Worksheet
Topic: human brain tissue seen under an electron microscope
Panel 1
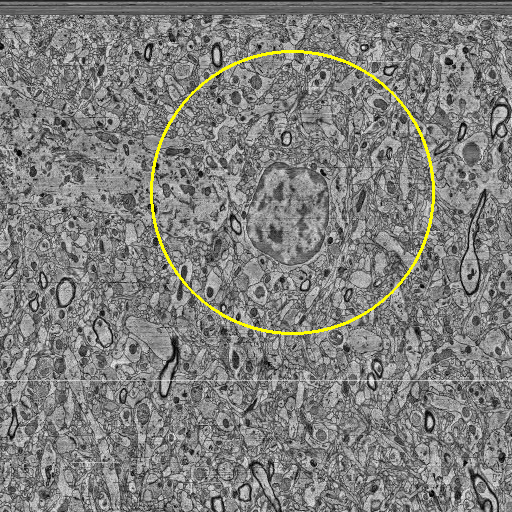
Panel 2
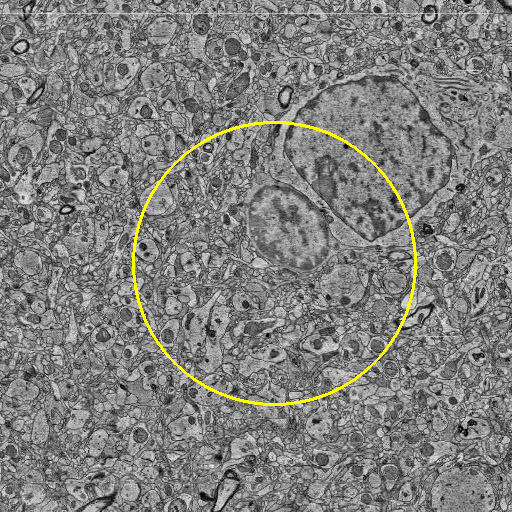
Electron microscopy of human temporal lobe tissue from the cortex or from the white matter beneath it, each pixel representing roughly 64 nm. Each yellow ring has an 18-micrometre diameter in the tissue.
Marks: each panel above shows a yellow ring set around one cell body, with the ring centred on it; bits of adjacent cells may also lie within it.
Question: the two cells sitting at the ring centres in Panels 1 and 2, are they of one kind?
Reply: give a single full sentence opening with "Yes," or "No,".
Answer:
No, the two ring-centre cells in Panel 1 and Panel 2 are of two kinds.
